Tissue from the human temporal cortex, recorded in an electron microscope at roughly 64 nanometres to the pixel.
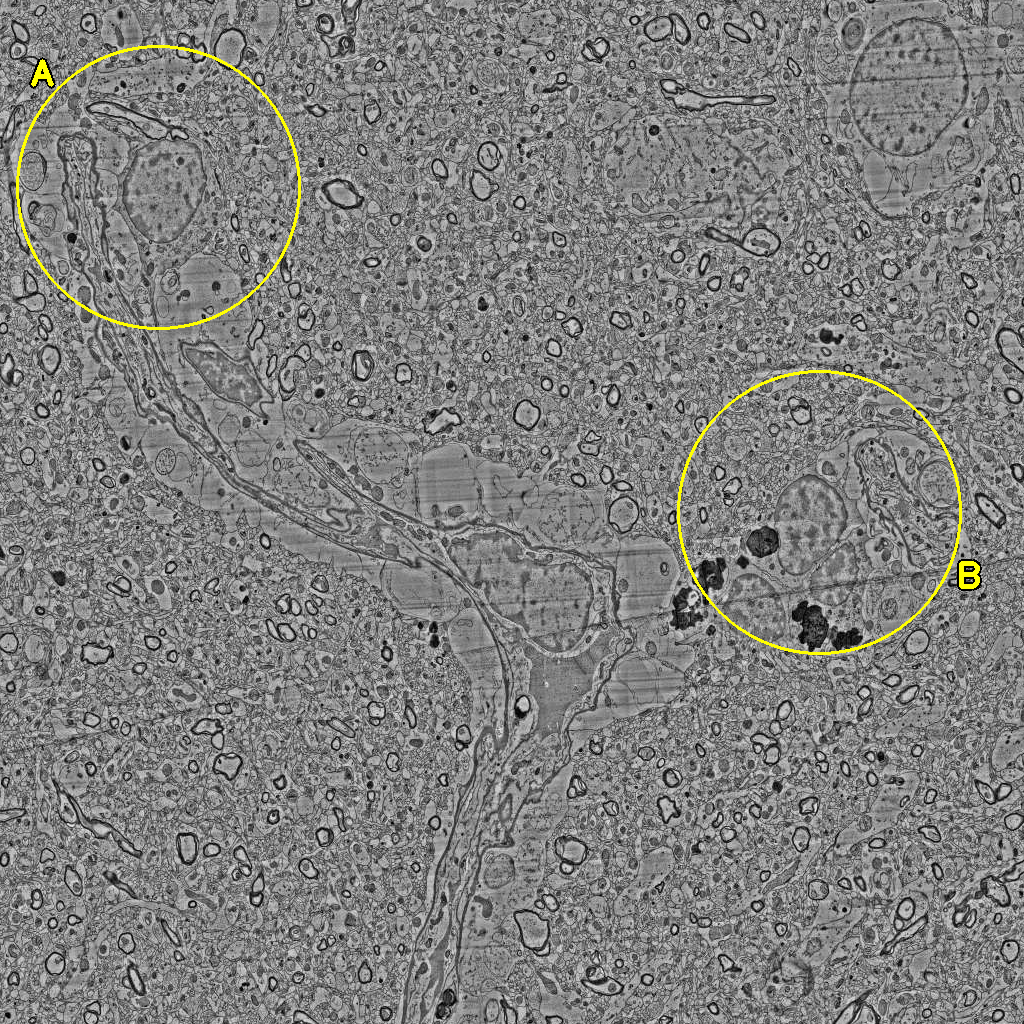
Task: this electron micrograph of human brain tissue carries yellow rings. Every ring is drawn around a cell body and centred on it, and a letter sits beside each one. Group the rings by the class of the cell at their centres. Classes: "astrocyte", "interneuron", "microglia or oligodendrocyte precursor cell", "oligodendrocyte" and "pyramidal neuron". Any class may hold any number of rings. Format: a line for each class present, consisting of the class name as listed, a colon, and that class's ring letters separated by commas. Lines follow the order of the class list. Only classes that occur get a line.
oligodendrocyte: A, B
